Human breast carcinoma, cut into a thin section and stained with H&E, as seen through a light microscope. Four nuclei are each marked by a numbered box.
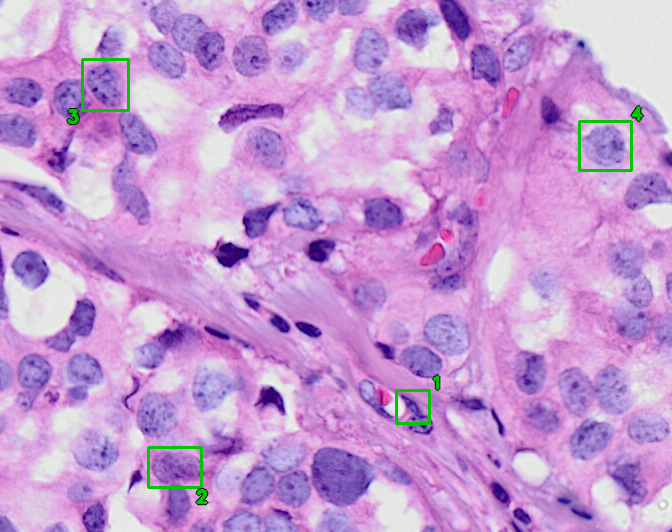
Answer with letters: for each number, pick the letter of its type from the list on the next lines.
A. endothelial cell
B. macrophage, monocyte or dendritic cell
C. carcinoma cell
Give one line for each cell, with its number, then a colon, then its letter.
1: A
2: C
3: C
4: C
